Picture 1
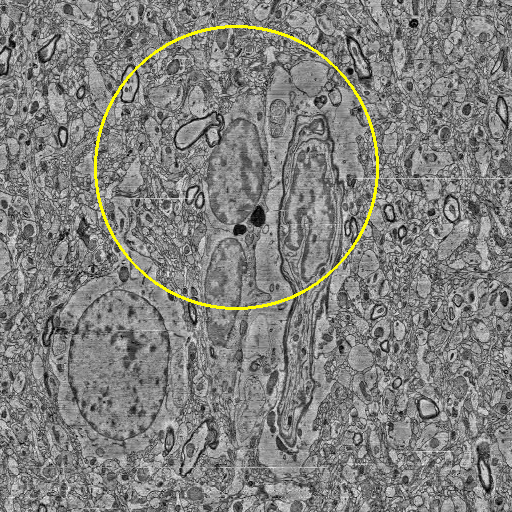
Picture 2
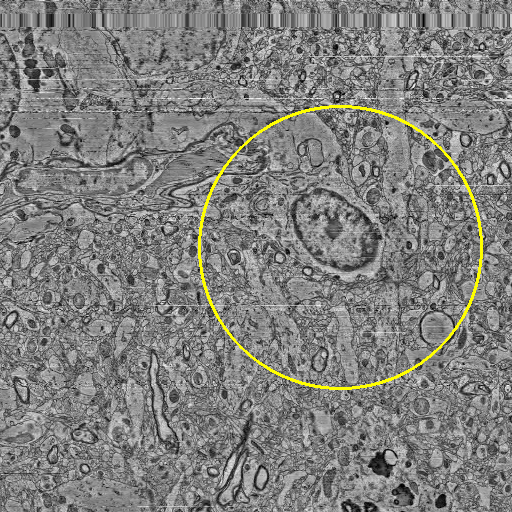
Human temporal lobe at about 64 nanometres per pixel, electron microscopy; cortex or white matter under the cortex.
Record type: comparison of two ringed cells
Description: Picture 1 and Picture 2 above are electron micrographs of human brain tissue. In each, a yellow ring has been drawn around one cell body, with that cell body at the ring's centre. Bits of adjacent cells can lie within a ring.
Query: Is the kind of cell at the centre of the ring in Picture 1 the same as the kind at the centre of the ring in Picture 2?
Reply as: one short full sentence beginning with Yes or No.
No, the two ringed cells are of two separate kinds.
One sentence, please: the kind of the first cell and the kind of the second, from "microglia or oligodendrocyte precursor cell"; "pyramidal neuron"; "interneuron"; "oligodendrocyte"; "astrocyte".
The ring in the first picture surrounds an oligodendrocyte, and the ring in the second surrounds a microglial cell or oligodendrocyte precursor cell.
